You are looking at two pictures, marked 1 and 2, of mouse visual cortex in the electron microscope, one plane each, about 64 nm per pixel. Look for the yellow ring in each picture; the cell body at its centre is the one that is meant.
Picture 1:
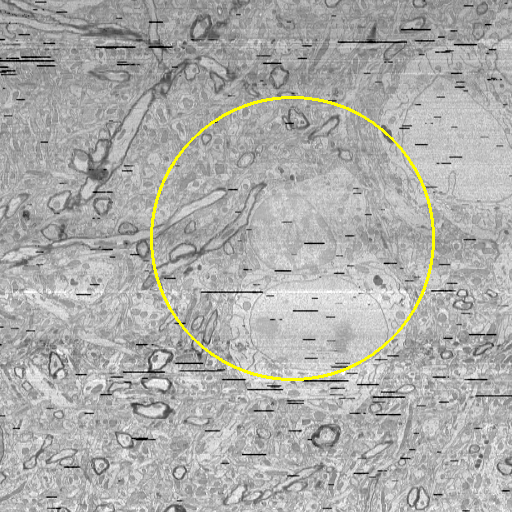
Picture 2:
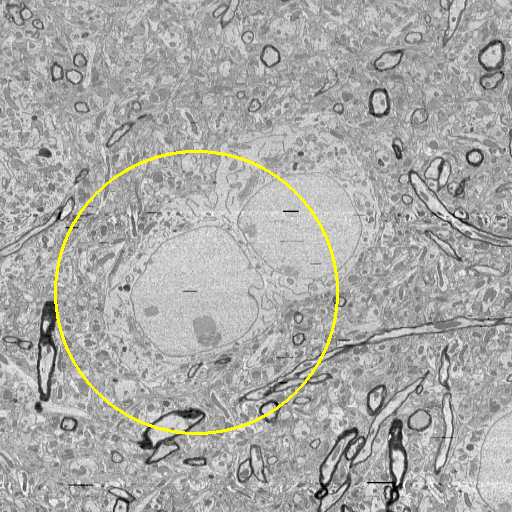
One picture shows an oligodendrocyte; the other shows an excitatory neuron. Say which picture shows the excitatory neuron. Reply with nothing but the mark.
2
